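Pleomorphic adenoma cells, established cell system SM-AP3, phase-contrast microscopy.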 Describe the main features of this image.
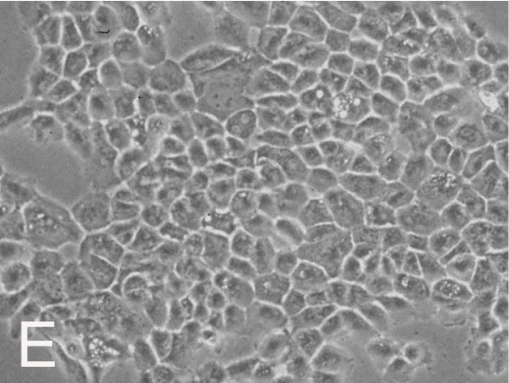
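The cell borders show as bright, refractile lines. Cytoplasm looks finely granular, and some cells hold clusters of small bright granules or vacuoles. The whole picture is that of an epithelial-like monolayer of polygonal cells.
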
